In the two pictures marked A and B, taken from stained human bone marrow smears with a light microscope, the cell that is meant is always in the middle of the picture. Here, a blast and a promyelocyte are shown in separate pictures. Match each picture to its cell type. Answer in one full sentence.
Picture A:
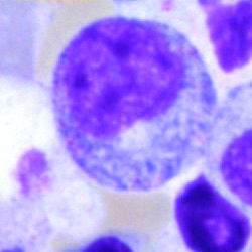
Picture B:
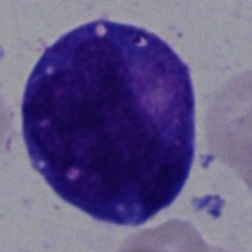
In picture A the cell is a promyelocyte; in picture B, a blast.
